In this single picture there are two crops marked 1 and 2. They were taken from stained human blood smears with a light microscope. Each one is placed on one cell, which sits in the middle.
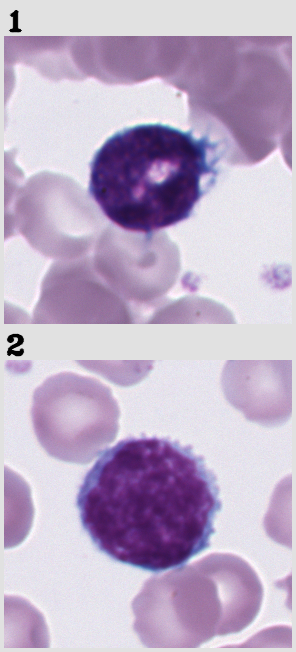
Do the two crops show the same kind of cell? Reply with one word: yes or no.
yes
